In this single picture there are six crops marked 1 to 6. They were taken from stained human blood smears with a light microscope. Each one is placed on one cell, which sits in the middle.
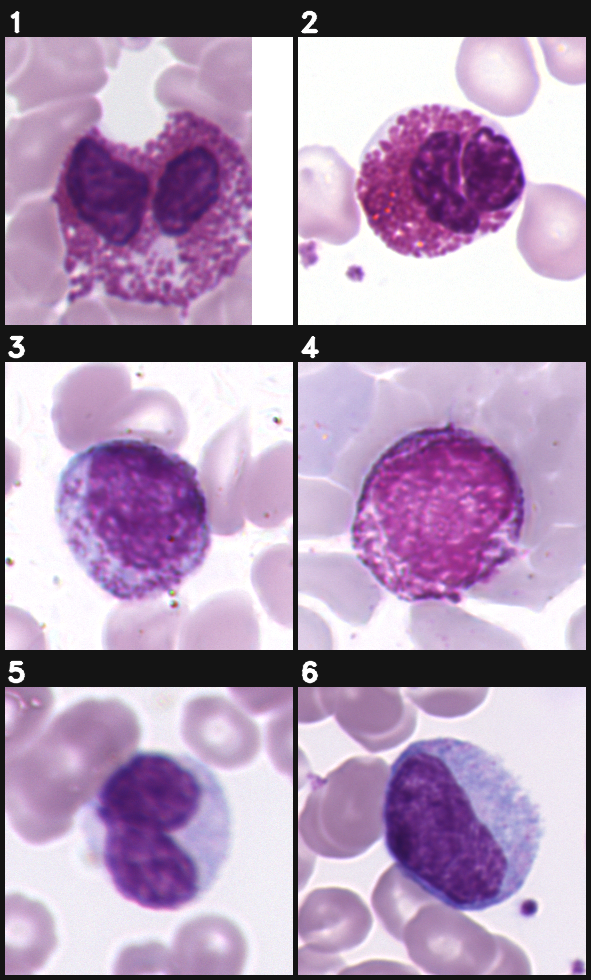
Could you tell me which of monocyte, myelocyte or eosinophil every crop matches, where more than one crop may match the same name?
1: eosinophil
2: eosinophil
3: myelocyte
4: myelocyte
5: monocyte
6: monocyte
